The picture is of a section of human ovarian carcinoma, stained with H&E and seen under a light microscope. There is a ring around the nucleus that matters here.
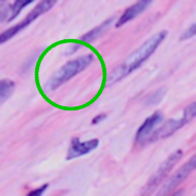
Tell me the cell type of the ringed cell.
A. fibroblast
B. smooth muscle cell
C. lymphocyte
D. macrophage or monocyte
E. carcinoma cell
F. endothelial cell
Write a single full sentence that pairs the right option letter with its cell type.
Option B is accurate, for the ringed cell is a smooth muscle cell.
